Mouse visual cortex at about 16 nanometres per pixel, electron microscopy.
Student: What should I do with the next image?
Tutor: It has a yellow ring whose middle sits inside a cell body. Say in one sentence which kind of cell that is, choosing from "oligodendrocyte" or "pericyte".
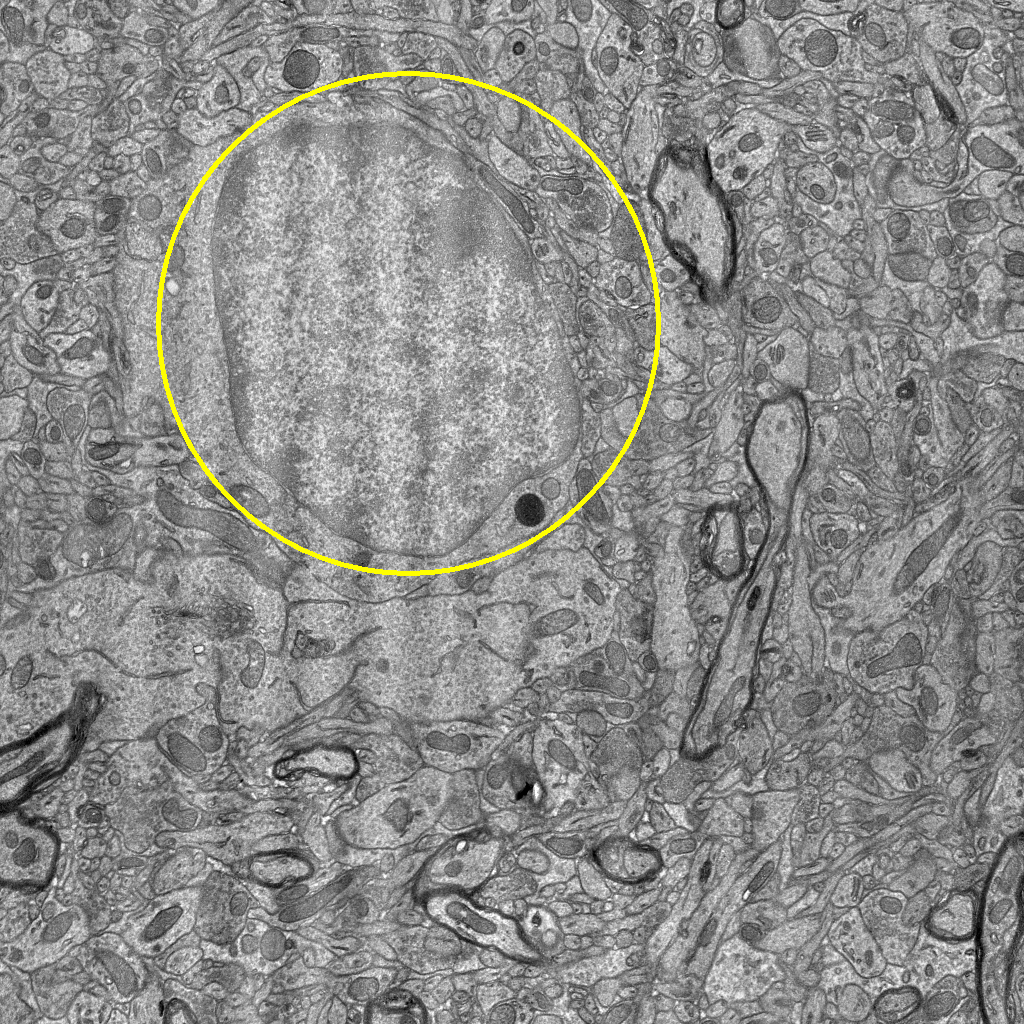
The ring's centre is occupied by an oligodendrocyte.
